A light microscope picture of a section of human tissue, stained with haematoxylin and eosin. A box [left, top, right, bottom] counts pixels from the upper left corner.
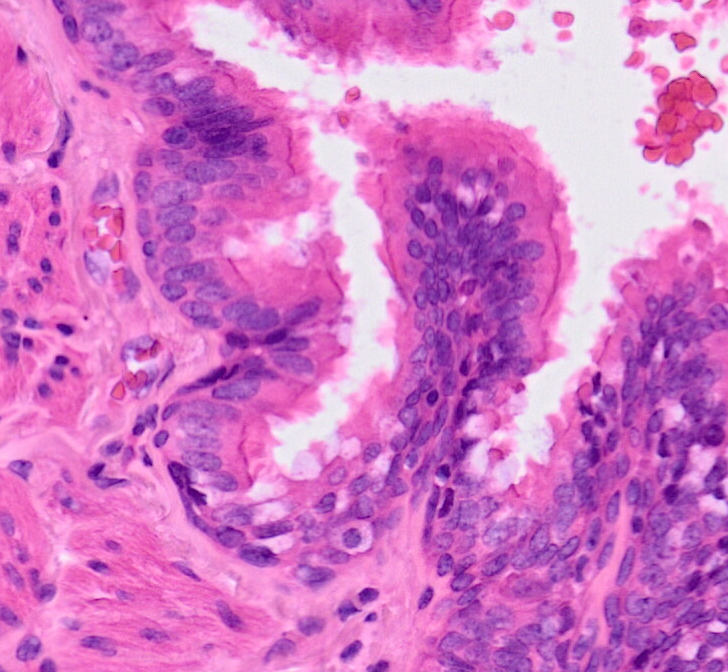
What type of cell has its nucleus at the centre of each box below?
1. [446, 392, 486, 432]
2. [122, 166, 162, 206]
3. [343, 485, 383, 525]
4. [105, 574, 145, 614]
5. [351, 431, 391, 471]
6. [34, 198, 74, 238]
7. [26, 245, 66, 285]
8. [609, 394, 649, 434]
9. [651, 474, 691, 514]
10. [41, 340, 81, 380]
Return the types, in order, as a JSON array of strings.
["ciliated epithelial cell", "ciliated epithelial cell", "ciliated epithelial cell", "smooth muscle cell or pericyte", "ciliated epithelial cell", "smooth muscle cell or pericyte", "smooth muscle cell or pericyte", "ciliated epithelial cell", "ciliated epithelial cell", "smooth muscle cell or pericyte"]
